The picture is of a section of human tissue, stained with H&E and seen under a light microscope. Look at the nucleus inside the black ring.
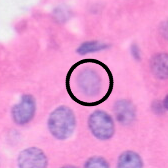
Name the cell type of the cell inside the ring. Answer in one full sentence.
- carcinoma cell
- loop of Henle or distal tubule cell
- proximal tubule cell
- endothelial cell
The cell type represented by the cell inside the ring is that of a loop of Henle or distal tubule cell.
